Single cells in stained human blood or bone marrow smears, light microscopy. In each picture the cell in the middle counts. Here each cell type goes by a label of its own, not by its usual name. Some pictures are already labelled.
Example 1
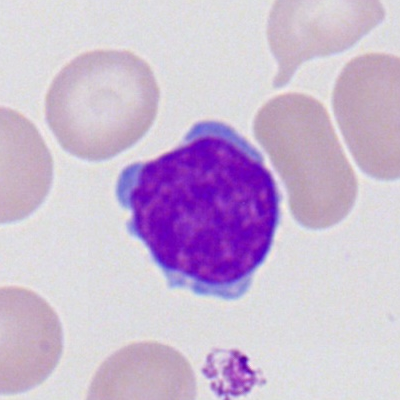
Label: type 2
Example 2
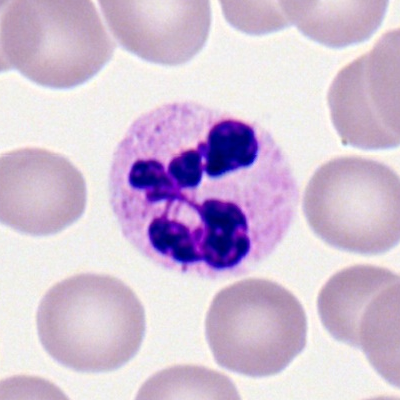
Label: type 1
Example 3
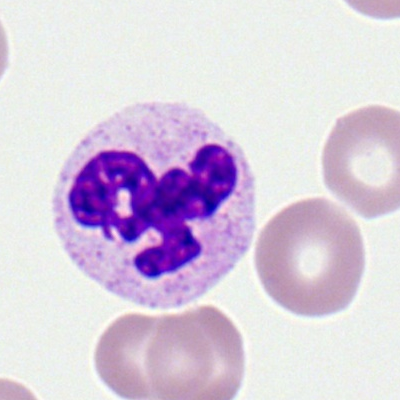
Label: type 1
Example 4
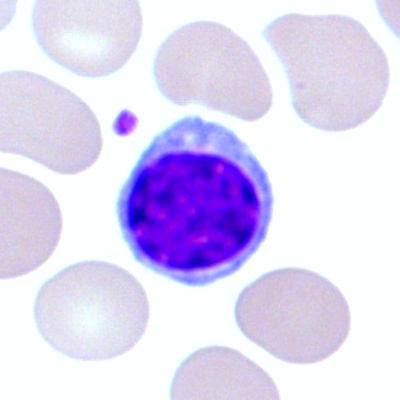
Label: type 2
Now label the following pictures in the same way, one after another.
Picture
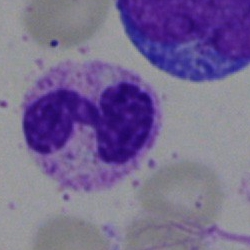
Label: type 1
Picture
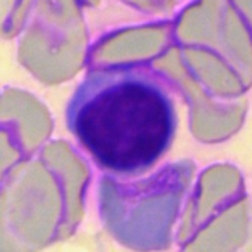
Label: type 2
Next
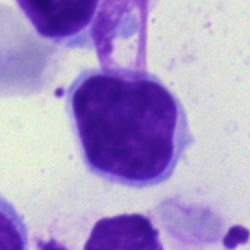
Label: type 2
